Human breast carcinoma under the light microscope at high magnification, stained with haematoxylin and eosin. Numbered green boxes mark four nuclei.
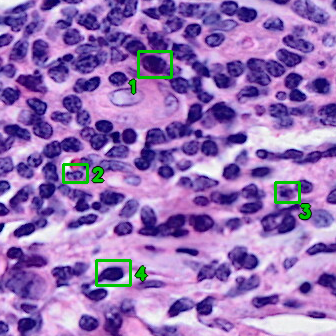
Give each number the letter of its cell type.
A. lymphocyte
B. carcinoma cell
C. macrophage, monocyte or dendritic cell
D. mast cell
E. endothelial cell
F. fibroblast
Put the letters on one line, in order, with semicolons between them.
A; E; A; A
